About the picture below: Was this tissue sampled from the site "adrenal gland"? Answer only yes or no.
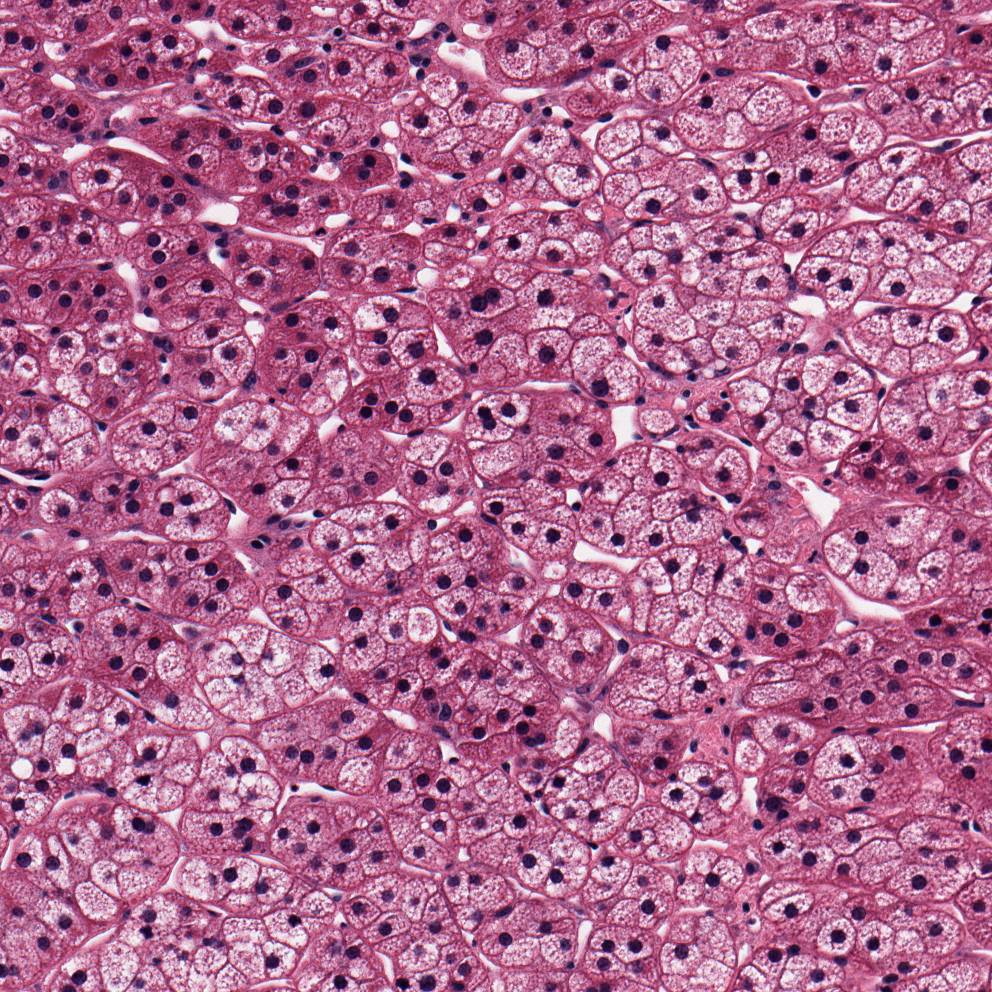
yes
